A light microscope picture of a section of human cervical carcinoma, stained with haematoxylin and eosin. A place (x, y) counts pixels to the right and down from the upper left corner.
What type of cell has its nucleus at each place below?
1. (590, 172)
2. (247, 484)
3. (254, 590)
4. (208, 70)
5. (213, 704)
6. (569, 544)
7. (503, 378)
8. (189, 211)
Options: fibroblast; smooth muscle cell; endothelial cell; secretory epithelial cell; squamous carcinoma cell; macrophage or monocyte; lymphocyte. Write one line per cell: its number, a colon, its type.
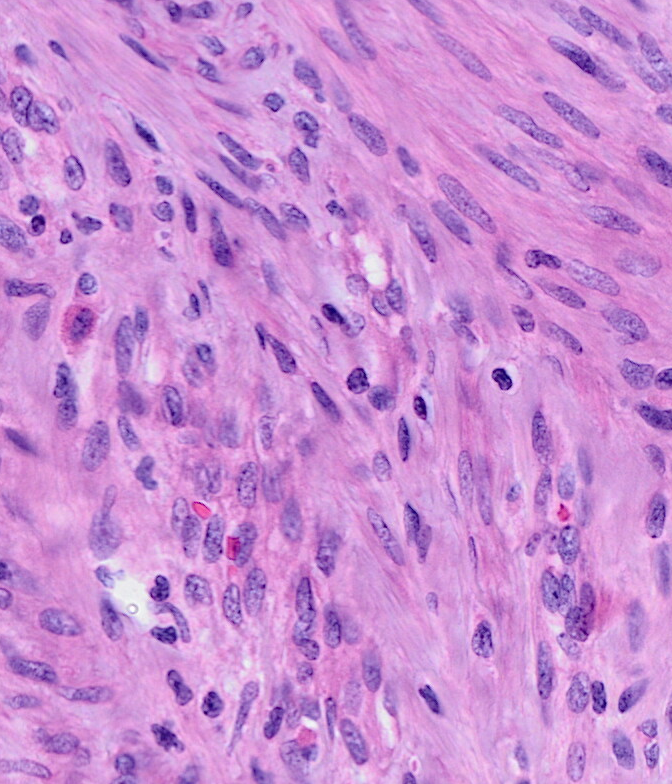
1: smooth muscle cell
2: endothelial cell
3: endothelial cell
4: smooth muscle cell
5: lymphocyte
6: endothelial cell
7: lymphocyte
8: fibroblast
